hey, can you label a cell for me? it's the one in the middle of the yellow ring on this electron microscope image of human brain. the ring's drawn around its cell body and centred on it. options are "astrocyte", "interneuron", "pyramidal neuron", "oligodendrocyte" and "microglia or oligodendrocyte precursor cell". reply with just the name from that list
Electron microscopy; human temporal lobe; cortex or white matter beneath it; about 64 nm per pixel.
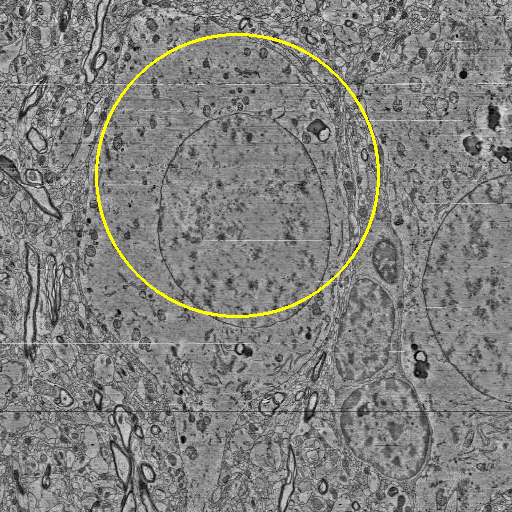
pyramidal neuron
